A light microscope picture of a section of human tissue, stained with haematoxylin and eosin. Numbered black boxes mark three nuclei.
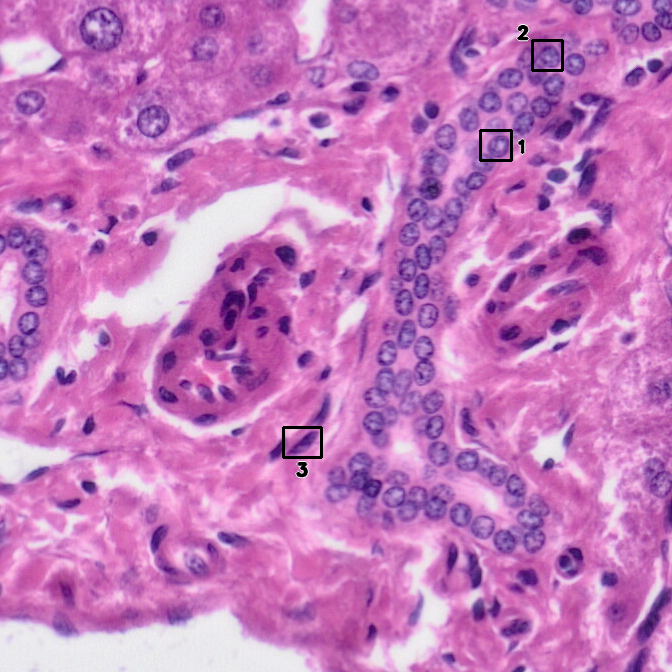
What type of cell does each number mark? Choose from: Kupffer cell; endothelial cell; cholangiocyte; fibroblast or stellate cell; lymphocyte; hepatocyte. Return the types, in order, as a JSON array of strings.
["cholangiocyte", "cholangiocyte", "fibroblast or stellate cell"]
